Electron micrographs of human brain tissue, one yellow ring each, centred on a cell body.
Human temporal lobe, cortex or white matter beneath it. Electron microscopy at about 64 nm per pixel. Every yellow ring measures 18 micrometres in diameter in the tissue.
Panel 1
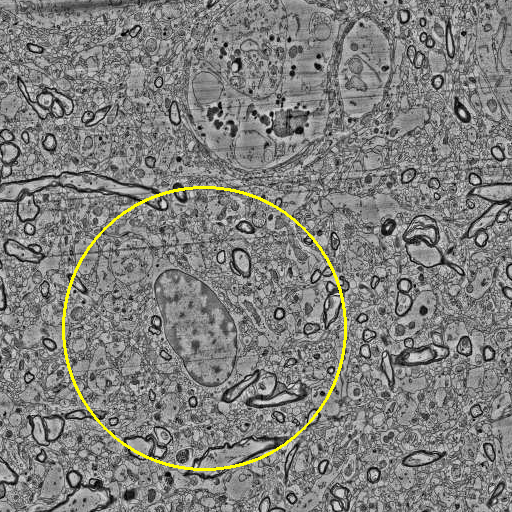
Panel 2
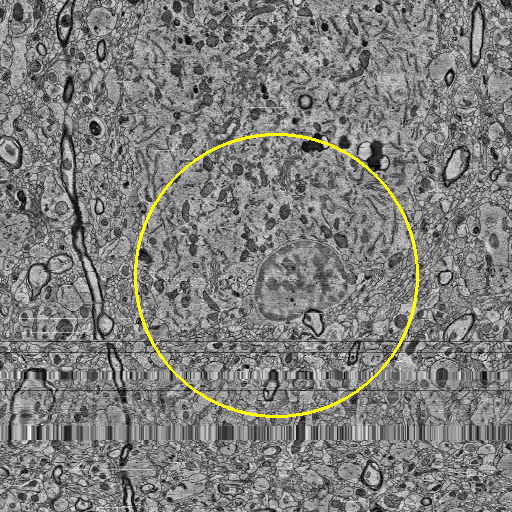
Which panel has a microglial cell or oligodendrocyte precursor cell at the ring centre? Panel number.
1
